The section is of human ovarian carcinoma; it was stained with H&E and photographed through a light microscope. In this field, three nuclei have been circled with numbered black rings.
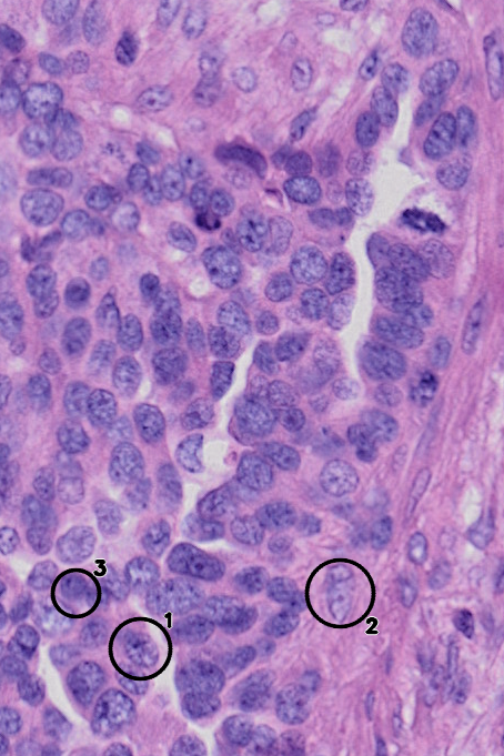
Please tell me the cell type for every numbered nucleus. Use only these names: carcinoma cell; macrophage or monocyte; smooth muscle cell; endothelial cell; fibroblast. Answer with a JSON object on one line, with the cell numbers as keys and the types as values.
{"1": "carcinoma cell", "2": "fibroblast", "3": "carcinoma cell"}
